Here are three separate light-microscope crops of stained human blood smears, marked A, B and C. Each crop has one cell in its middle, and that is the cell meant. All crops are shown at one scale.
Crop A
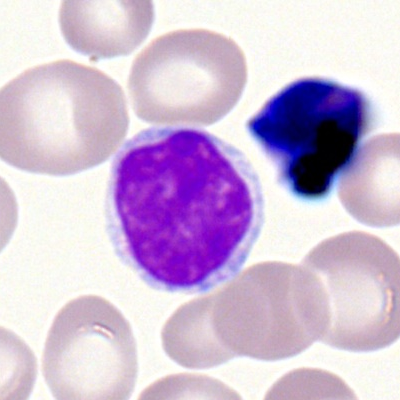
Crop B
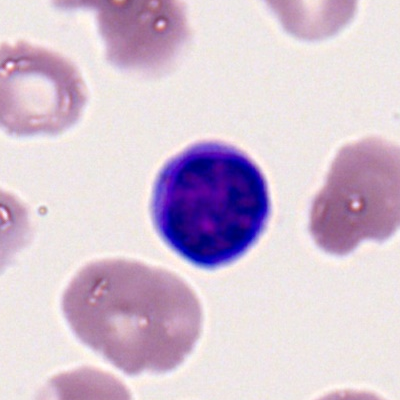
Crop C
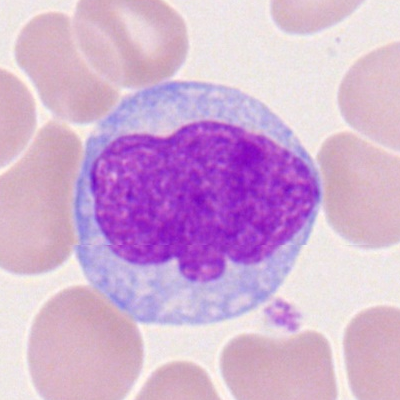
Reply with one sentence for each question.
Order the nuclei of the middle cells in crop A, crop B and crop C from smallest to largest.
Going up, they run B, A, C.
